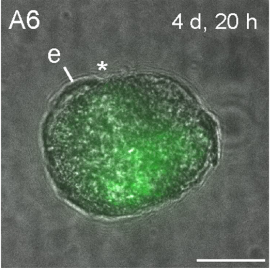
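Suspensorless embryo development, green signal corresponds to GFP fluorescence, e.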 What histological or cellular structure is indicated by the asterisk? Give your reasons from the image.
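The asterisk sits at the upper edge of the rounded grain, on its outer wall.
Hence: site of exine rupture.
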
